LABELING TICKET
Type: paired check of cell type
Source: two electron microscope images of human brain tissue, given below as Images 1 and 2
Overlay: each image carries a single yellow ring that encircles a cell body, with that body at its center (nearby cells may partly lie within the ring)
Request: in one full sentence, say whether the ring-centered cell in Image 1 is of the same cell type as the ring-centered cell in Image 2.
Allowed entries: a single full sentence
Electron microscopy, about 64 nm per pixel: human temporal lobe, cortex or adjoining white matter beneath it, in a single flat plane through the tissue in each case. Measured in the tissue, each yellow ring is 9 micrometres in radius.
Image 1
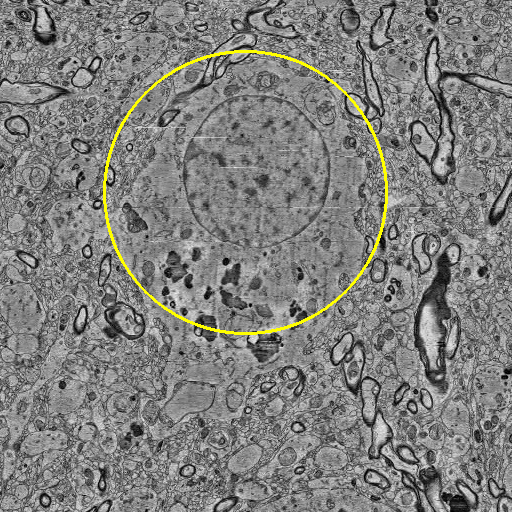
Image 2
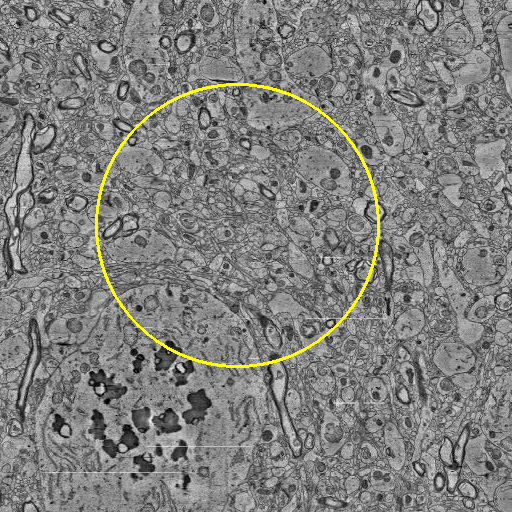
No, the cells centered in the rings of Image 1 and Image 2 are of two types.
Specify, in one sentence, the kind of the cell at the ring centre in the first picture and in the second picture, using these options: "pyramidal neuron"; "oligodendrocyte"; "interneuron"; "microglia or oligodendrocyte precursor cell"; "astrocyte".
So the first is an astrocyte, the second an oligodendrocyte.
